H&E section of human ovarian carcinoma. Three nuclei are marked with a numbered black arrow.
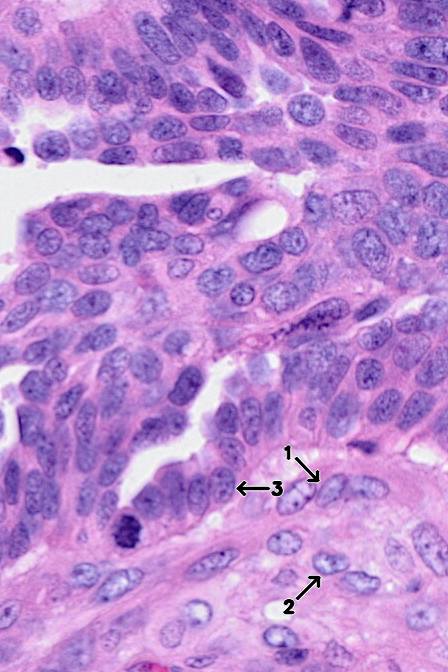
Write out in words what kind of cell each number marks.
Cell 1 is a fibroblast, cell 2 is a fibroblast and cell 3 is a carcinoma cell.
